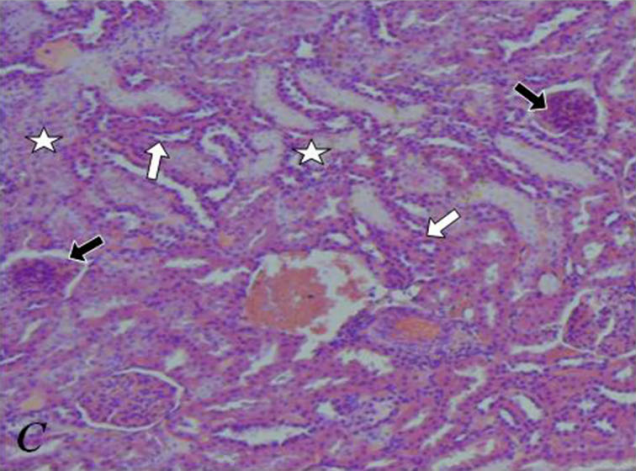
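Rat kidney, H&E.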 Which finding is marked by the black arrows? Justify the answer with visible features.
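The arrows point to small, dense, dark round cell tufts. A clear space surrounds each tuft within its capsule.
Collapsed renal glomeruli.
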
